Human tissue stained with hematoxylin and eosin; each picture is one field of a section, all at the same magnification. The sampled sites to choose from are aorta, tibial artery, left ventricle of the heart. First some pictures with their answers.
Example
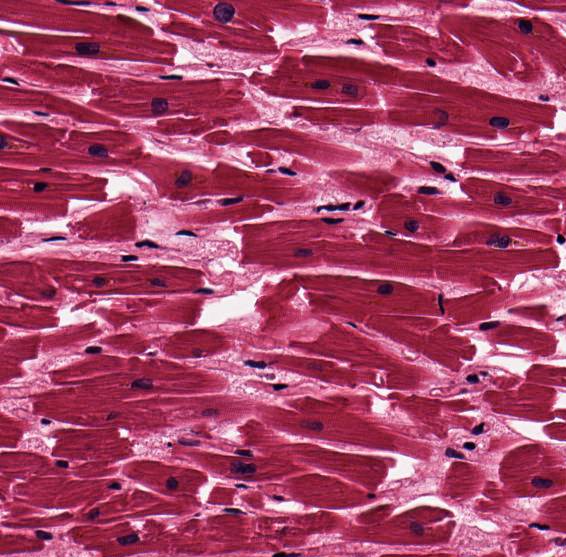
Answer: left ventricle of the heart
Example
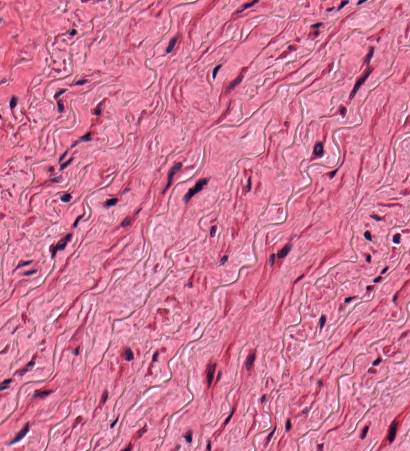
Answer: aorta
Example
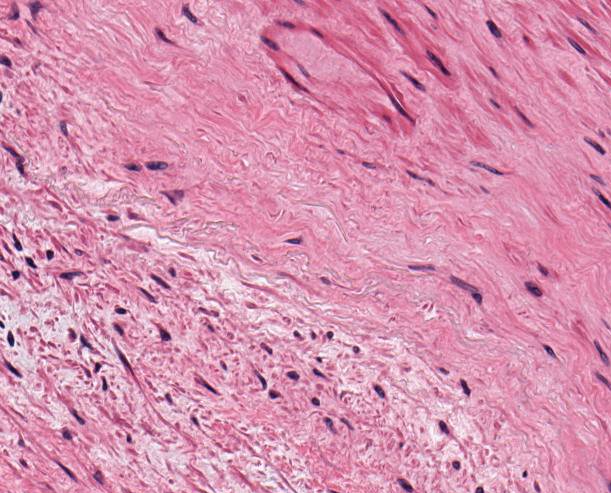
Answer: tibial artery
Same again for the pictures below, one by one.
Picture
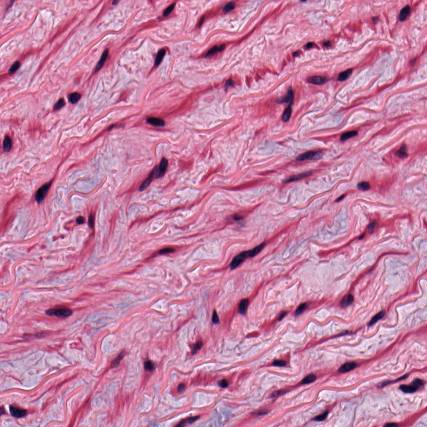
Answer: aorta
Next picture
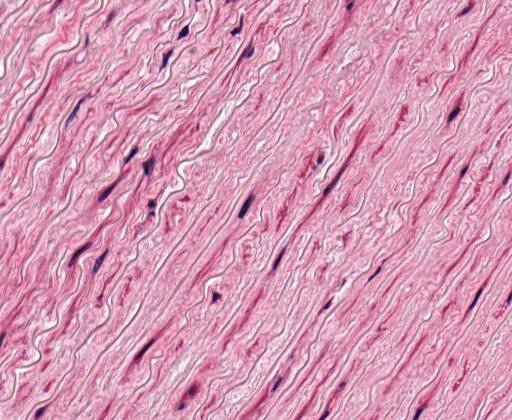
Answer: aorta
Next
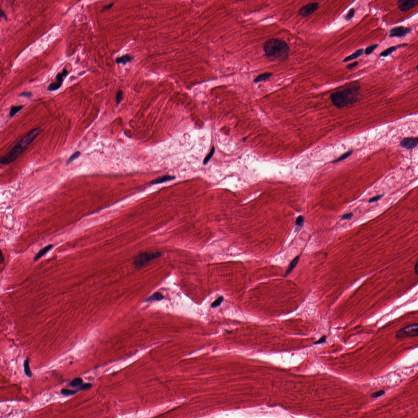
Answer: left ventricle of the heart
